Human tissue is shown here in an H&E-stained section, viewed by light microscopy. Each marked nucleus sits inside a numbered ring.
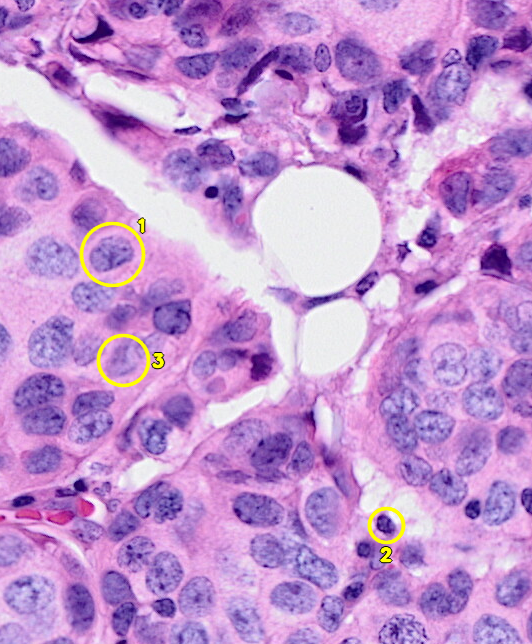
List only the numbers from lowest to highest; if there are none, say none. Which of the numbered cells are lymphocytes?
2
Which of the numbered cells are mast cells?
none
